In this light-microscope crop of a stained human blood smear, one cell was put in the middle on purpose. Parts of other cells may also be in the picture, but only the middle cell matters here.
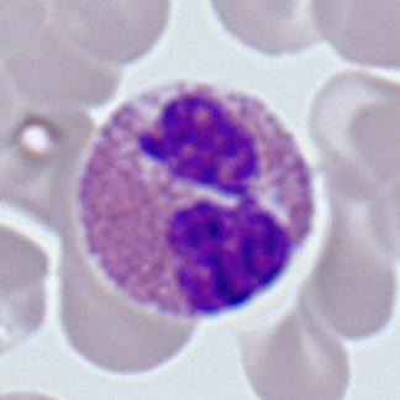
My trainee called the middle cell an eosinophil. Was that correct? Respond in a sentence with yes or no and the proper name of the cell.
Yes, the middle of the crop is occupied by an eosinophil.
